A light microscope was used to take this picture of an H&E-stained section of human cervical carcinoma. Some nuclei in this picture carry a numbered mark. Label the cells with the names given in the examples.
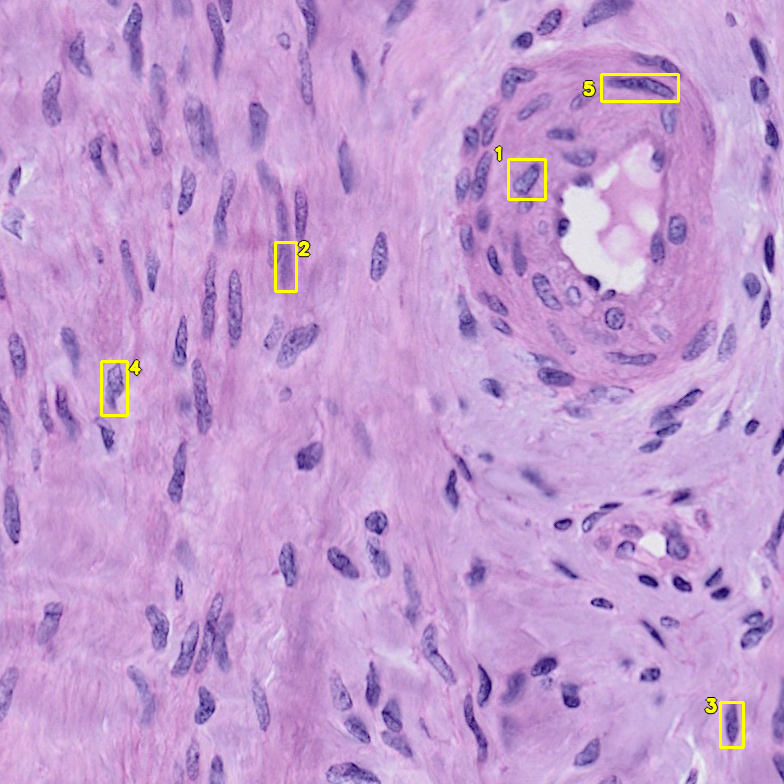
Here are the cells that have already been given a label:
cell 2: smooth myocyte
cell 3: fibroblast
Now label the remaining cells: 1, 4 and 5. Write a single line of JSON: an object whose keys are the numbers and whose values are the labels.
{"1": "smooth myocyte", "4": "fibroblast", "5": "smooth myocyte"}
